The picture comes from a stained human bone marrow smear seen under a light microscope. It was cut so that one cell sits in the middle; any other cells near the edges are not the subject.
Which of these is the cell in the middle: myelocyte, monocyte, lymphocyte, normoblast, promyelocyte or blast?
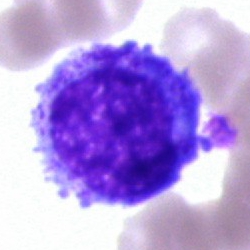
promyelocyte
